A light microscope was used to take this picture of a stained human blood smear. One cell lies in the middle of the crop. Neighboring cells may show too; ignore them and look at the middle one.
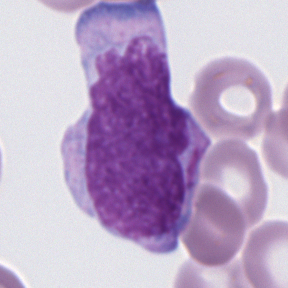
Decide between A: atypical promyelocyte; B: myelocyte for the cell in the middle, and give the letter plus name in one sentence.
The central cell, an atypical promyelocyte, is correctly identified by option A.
